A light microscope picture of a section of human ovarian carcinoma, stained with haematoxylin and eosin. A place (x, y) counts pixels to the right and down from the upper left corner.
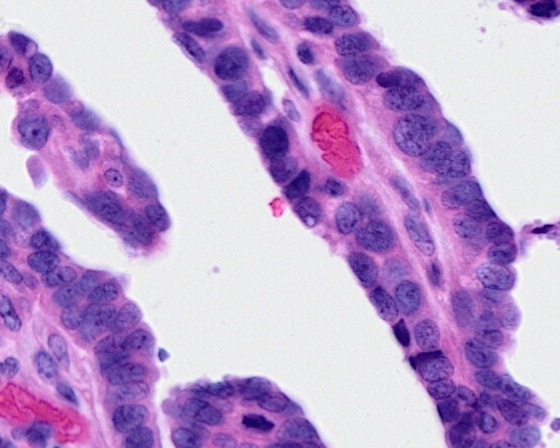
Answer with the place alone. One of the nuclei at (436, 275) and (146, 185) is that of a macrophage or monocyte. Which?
(436, 275)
